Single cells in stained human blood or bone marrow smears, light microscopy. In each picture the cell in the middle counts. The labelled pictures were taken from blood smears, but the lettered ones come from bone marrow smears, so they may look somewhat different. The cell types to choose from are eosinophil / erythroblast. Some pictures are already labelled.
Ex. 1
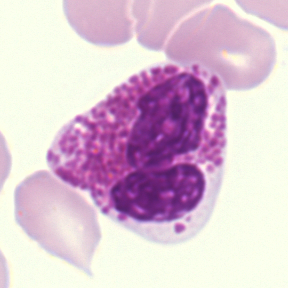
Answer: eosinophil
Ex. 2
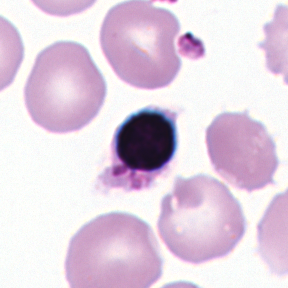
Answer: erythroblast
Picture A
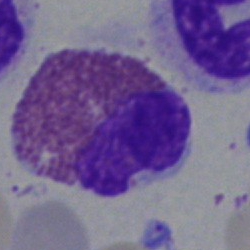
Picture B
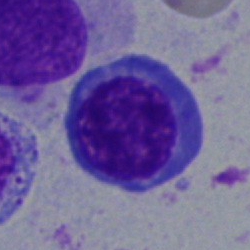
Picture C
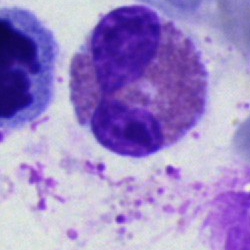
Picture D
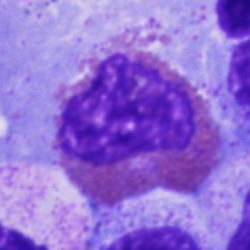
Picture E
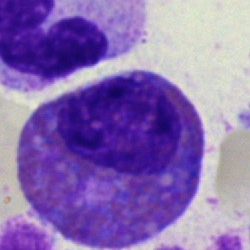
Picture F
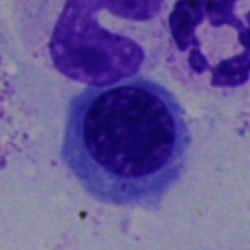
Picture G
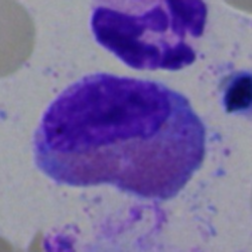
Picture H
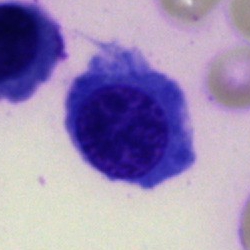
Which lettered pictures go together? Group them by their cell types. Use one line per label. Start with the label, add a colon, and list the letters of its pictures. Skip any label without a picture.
eosinophil: A, C, D, E, G
erythroblast: B, F, H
